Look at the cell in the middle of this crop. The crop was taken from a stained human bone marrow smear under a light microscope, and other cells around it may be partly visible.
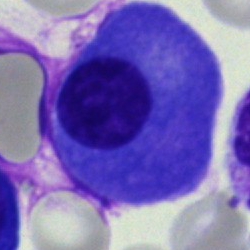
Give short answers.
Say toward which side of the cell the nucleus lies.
left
